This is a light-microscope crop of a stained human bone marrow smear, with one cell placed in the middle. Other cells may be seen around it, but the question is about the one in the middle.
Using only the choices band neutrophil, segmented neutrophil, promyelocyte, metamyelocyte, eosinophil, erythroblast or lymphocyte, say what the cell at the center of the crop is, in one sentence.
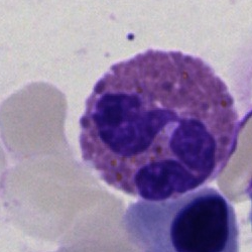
The cell featured at the centre of this crop is an eosinophil.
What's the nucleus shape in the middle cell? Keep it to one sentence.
Rather than a single mass, the nucleus forms two or more lobes.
